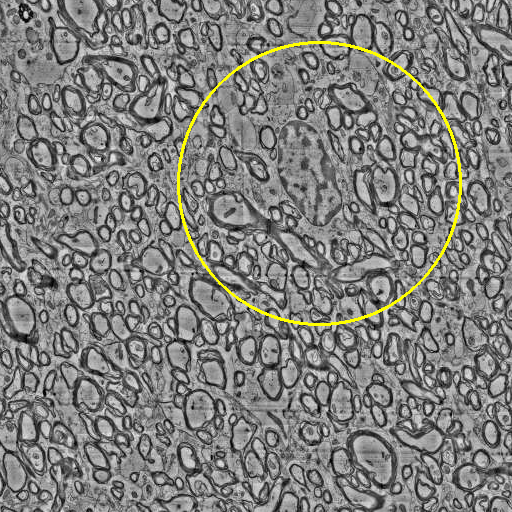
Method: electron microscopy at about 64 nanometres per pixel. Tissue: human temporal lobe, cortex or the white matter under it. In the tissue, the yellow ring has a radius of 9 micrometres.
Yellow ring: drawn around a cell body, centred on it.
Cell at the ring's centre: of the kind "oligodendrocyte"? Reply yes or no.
no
